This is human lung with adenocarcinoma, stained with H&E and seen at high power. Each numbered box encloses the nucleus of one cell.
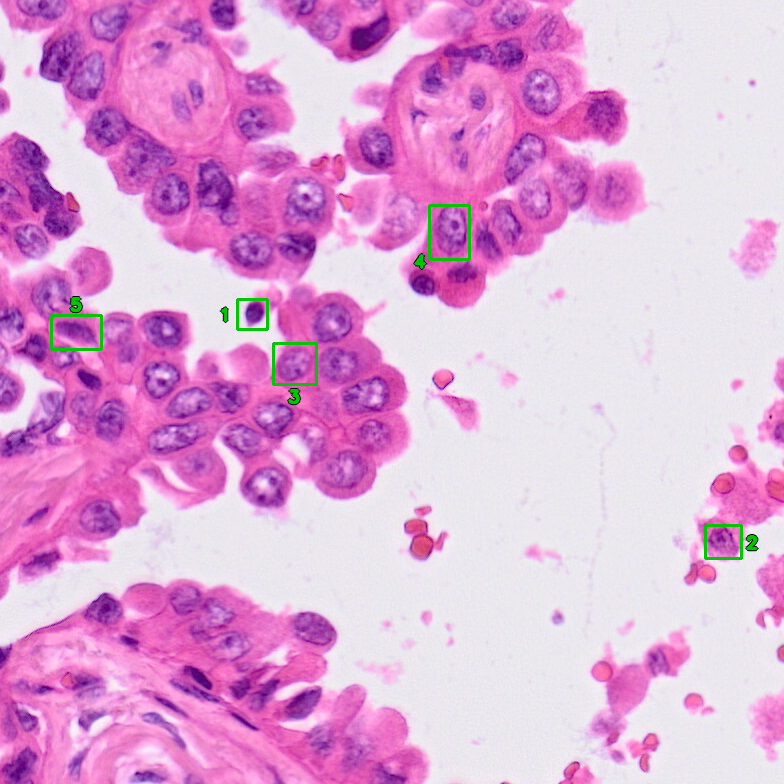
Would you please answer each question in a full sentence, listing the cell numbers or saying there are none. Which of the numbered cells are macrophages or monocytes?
Cell 2 is a macrophage or monocyte and is the only numbered cell of that kind.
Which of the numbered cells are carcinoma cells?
The cells referred to by numbers 3, 4 and 5 are carcinoma cells.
